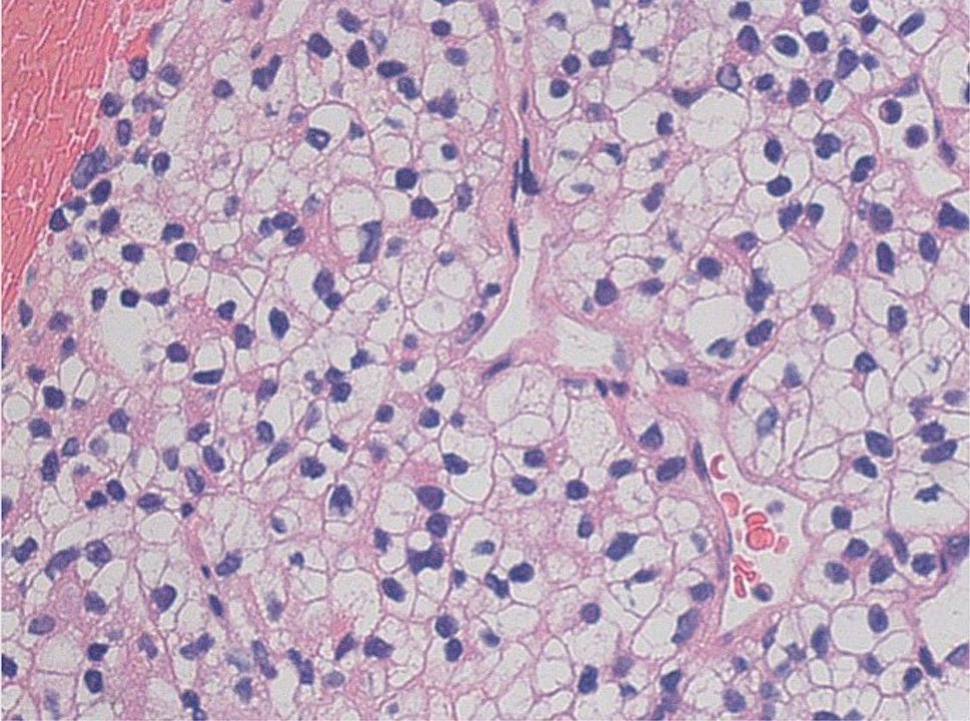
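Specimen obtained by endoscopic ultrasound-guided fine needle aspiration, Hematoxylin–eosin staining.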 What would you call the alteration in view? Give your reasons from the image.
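Clear cell carcinoma. Sheets of polygonal cells with optically clear cytoplasm. Sharp pink cell membranes outline each cell. Round dark nuclei, some slightly irregular. Thin-walled vessels with red blood cells run between the cell nests.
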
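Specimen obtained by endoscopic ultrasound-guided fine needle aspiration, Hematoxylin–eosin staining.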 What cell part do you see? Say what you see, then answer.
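Cell bodies are largely empty and pale. Only fine pink strands and membranes within the cells. The answer: clear cytoplasm.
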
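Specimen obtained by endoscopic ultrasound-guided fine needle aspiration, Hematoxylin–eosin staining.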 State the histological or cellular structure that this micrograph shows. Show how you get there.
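Delicate thin-walled channels branch between cell groups. One channel contains red blood cells. Flattened elongated nuclei line the channels.
Hence: rich sinusoidal vasculature.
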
